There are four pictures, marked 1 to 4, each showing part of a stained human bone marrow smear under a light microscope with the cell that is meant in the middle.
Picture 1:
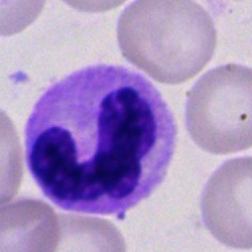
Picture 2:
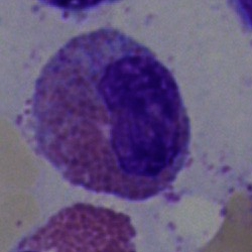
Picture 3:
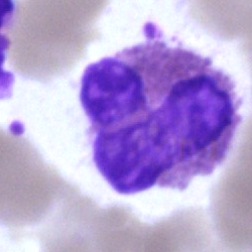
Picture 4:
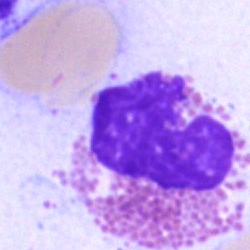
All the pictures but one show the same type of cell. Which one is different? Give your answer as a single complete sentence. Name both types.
Picture 1 differs, because its cell is a band neutrophil and the rest are eosinophils.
